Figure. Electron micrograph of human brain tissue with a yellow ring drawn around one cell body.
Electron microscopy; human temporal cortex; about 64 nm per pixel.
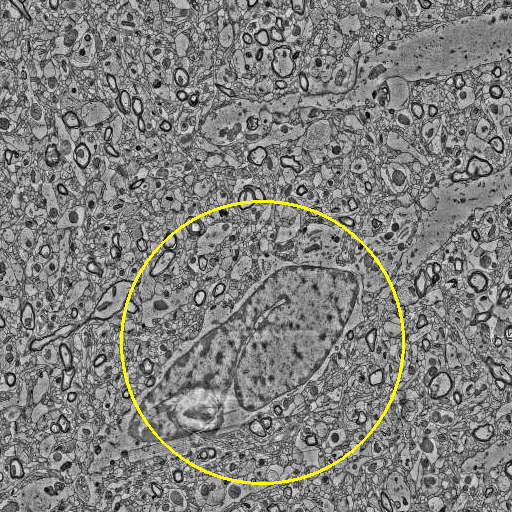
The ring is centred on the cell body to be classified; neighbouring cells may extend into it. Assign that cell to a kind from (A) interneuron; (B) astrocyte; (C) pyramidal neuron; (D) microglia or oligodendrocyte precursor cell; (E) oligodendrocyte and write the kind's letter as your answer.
D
